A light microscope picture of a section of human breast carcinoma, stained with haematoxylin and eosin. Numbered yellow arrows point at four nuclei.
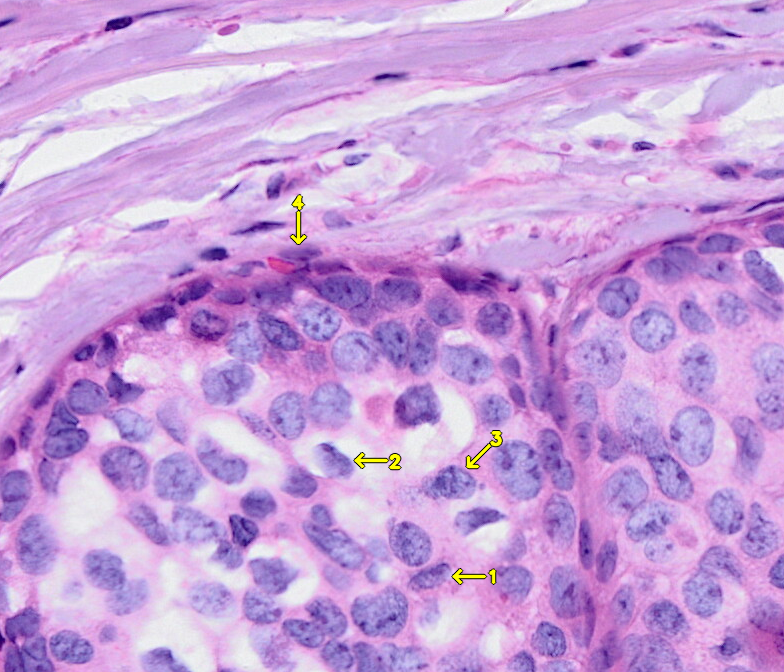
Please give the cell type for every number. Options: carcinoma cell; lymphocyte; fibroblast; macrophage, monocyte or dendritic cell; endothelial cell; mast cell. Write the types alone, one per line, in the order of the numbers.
carcinoma cell
carcinoma cell
carcinoma cell
endothelial cell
